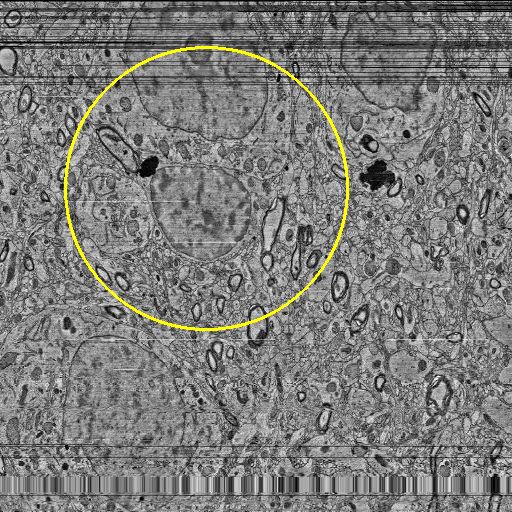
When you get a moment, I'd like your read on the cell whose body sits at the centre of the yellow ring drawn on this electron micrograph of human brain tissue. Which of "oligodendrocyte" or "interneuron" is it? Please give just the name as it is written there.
oligodendrocyte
